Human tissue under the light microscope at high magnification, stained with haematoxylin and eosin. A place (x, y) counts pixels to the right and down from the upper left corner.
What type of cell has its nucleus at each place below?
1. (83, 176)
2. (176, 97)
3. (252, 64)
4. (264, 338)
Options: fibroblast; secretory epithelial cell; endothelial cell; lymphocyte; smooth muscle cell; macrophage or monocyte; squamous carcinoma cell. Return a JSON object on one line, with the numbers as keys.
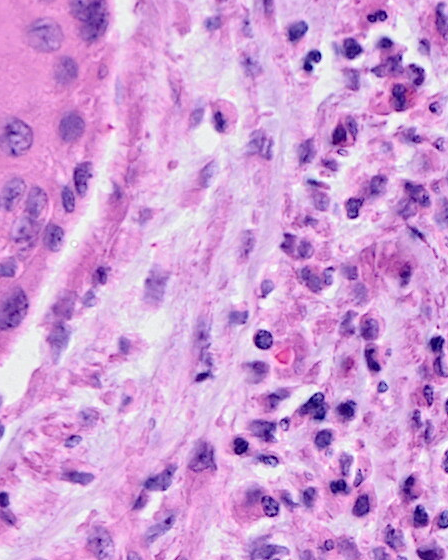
{"1": "squamous carcinoma cell", "2": "fibroblast", "3": "fibroblast", "4": "lymphocyte"}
